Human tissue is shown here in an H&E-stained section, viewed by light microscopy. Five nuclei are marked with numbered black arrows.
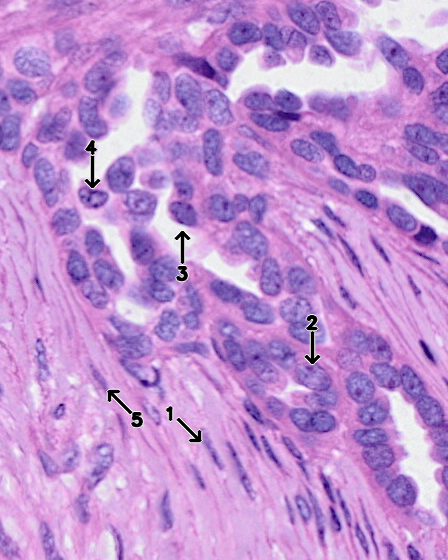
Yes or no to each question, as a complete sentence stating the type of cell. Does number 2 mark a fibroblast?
No, sorry, the cell labelled 2 is not a fibroblast; it is a carcinoma cell.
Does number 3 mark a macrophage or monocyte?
No, number 3 is not a macrophage or monocyte but a carcinoma cell.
